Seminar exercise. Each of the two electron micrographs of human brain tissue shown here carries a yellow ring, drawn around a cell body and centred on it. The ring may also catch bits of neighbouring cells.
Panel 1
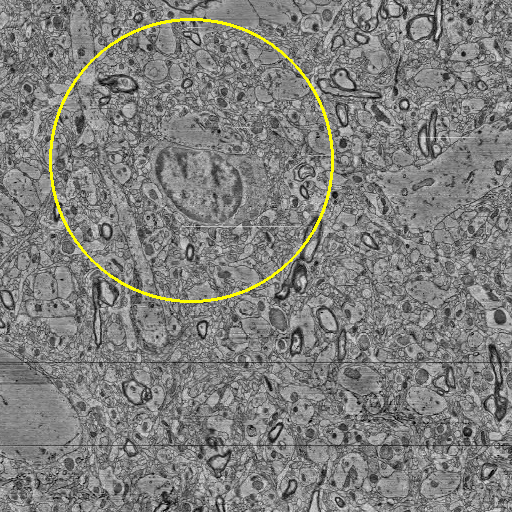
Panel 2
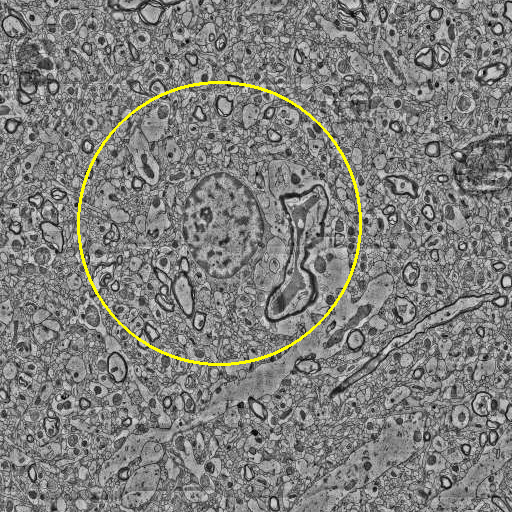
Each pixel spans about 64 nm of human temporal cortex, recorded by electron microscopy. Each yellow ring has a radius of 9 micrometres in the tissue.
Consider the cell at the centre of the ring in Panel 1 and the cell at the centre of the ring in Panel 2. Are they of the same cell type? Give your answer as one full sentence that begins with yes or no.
Yes, both cells are of the same type.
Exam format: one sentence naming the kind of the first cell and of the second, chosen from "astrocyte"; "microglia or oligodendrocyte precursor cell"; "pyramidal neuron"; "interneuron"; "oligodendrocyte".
In each picture the ringed cell is an oligodendrocyte.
